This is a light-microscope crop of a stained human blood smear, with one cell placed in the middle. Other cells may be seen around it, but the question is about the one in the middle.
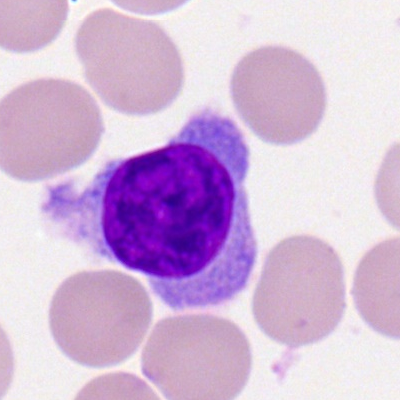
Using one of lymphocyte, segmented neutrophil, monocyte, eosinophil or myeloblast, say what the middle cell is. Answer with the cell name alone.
lymphocyte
